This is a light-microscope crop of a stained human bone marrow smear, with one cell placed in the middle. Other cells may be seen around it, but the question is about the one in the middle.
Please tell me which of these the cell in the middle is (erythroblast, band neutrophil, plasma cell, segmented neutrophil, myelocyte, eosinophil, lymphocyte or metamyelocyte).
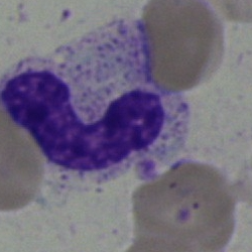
band neutrophil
